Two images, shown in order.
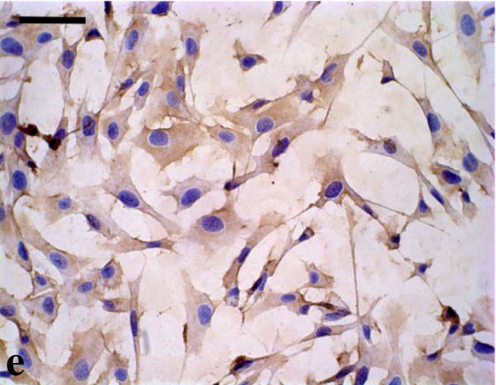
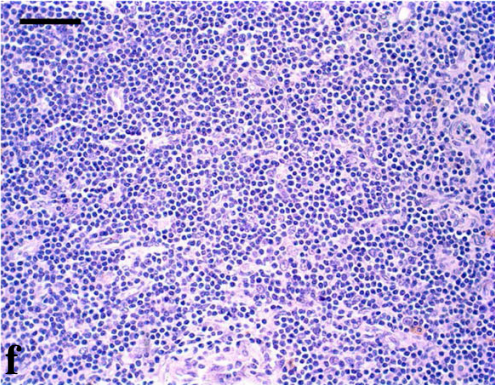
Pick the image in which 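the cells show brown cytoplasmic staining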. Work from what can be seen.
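First image: spread cells with brownish cytoplasm around blue nuclei. On this evidence: the first image.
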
